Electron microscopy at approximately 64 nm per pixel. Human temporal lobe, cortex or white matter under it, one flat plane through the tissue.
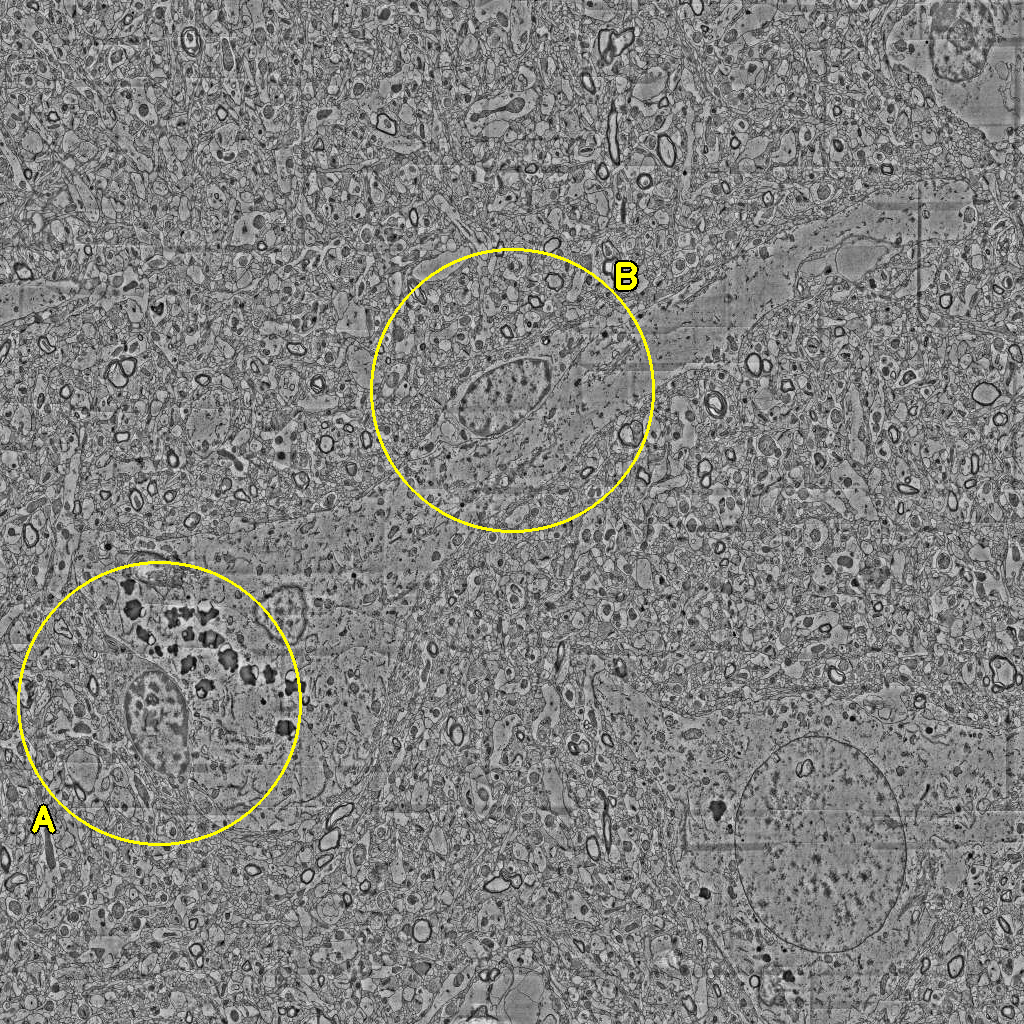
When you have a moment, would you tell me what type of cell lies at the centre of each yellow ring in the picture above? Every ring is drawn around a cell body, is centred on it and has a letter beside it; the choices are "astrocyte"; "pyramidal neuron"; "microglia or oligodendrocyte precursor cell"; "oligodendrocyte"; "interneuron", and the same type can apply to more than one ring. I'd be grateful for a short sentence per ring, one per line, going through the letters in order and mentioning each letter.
The cell at the centre of ring A is an oligodendrocyte.
The cell at the centre of ring B is a microglial cell or oligodendrocyte precursor cell.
